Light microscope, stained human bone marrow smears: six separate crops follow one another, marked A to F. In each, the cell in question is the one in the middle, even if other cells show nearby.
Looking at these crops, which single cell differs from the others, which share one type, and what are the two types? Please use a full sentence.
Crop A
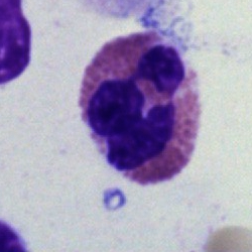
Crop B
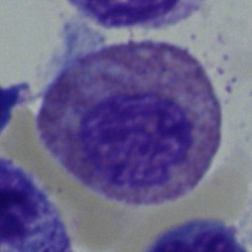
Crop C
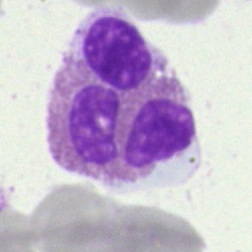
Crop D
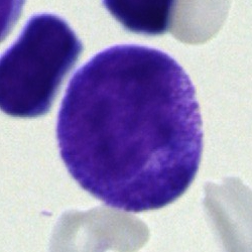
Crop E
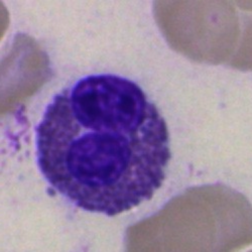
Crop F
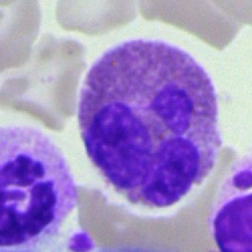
Crop D is not like the others: it is a promyelocyte, and they are eosinophils.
